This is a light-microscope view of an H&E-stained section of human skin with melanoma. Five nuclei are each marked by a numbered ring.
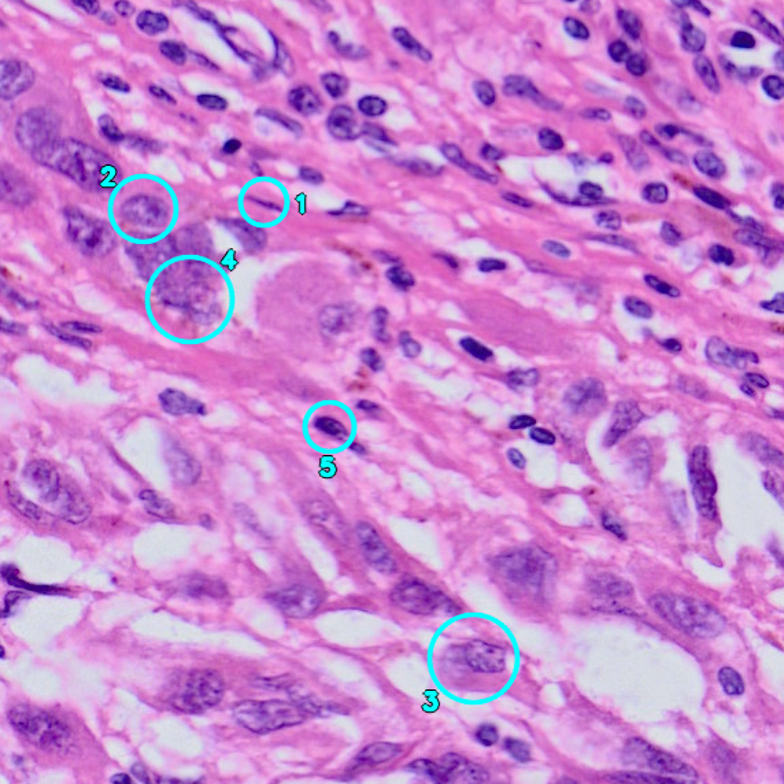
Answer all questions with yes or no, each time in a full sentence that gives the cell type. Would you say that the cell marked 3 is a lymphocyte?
No, cell 3 isn't a lymphocyte; it's a melanoma cell.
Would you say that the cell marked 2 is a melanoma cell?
Yes, the cell with its nucleus marked 2 is a melanoma cell.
